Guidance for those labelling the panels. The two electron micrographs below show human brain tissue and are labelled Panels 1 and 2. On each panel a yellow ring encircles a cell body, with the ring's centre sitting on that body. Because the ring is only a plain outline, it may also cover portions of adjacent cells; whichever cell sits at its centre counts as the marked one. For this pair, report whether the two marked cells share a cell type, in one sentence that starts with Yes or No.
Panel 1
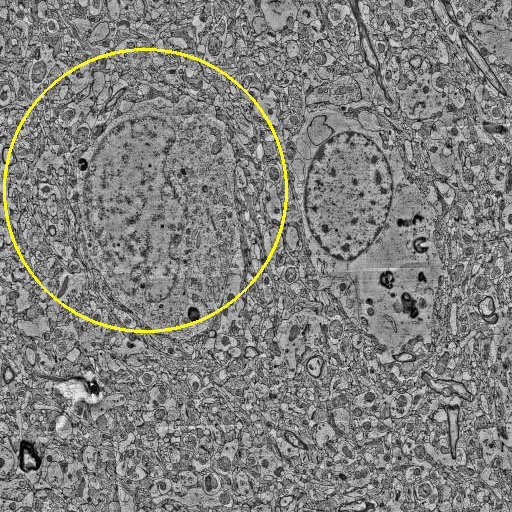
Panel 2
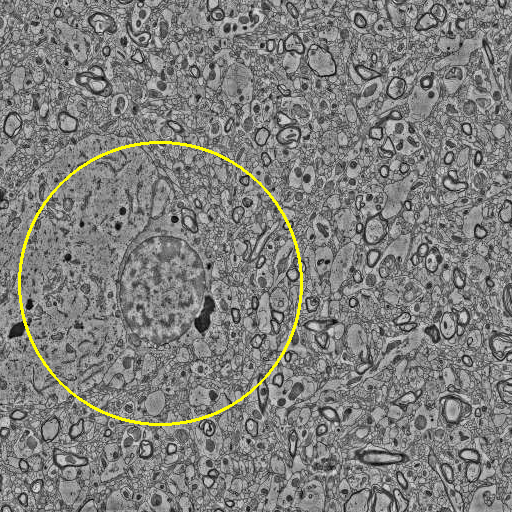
No, in Panel 1 and Panel 2 the marked cells at the ring centres are of two types.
